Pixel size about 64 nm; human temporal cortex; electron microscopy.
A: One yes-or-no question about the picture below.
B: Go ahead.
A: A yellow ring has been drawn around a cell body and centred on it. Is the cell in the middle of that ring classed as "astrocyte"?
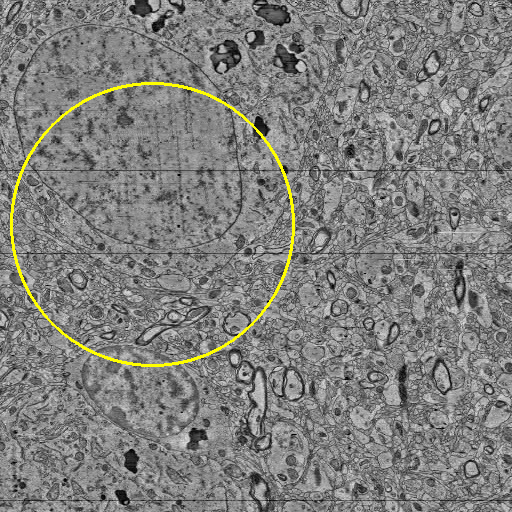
No, it is classed as another kind.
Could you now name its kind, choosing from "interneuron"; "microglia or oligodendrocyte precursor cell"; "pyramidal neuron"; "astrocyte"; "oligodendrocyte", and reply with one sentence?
As it turns out, the cell at the ring centre is a pyramidal neuron.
